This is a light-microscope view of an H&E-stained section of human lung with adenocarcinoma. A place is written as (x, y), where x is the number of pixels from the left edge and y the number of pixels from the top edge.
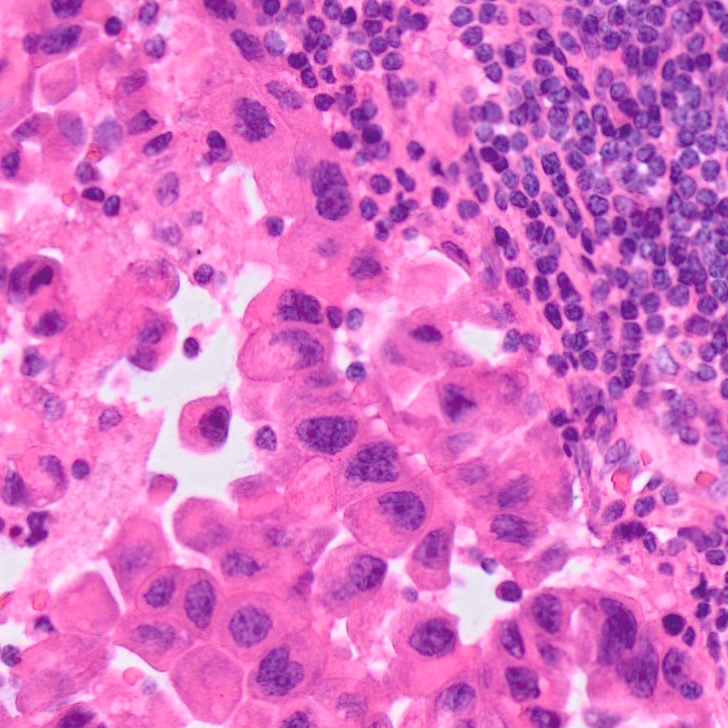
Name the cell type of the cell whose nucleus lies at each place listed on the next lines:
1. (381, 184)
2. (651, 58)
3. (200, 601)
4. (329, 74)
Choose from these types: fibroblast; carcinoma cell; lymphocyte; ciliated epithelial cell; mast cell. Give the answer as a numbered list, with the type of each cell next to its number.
1. lymphocyte
2. lymphocyte
3. carcinoma cell
4. lymphocyte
